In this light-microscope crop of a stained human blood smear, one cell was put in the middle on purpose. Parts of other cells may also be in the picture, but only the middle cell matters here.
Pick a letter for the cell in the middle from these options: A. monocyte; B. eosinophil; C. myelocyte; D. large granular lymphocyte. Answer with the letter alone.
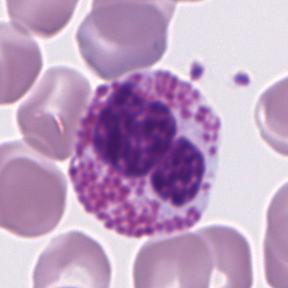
B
